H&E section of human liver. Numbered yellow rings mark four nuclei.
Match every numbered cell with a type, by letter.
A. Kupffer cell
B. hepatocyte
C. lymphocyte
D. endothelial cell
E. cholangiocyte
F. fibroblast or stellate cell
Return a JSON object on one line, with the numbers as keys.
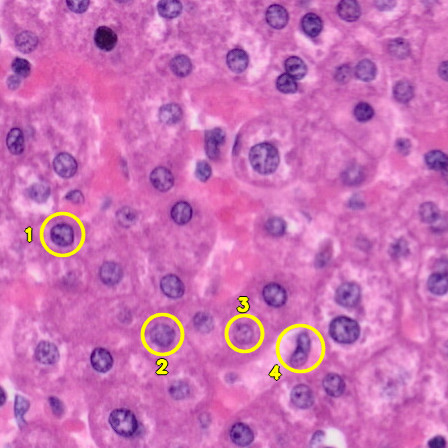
{"1": "B", "2": "B", "3": "B", "4": "A"}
